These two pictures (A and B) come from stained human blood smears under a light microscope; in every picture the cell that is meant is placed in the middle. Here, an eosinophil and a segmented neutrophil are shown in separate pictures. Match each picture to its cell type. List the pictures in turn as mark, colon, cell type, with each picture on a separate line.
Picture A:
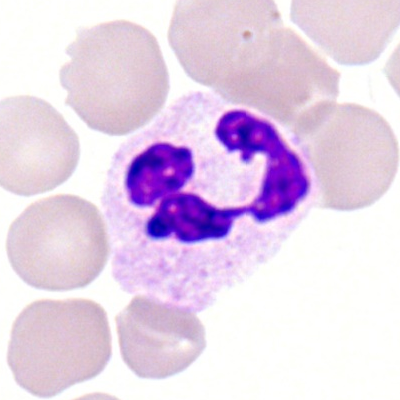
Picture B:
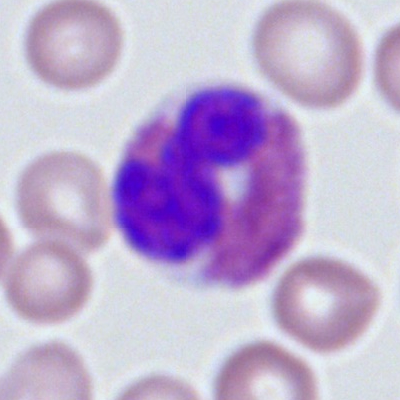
A: segmented neutrophil
B: eosinophil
